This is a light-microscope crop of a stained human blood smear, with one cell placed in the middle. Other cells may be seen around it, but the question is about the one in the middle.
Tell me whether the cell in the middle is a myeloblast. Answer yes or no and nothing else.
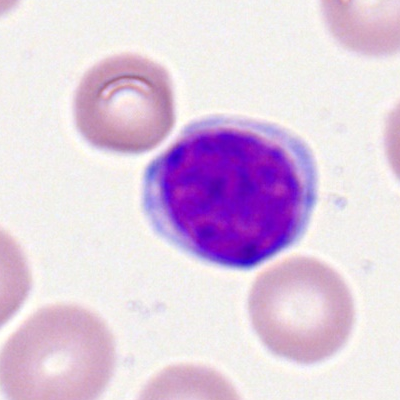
no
